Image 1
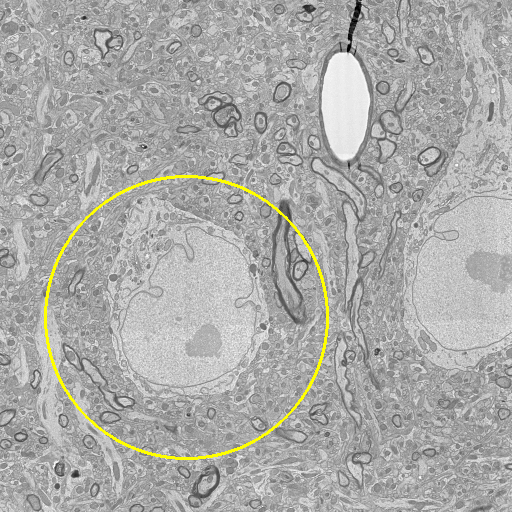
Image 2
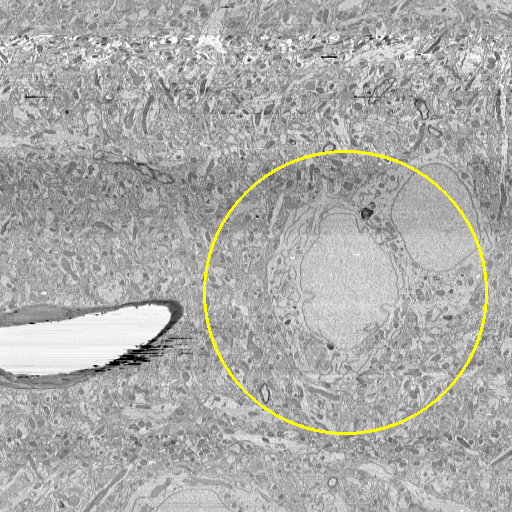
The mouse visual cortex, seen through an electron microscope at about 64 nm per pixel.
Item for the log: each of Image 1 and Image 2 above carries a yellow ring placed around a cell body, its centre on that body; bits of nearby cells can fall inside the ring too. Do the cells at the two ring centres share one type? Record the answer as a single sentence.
Yes, the two cells at the ring centres in Image 1 and Image 2 share one type.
